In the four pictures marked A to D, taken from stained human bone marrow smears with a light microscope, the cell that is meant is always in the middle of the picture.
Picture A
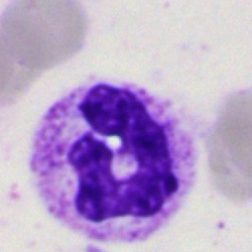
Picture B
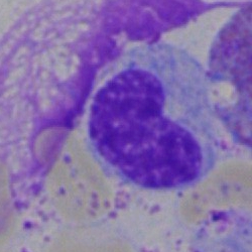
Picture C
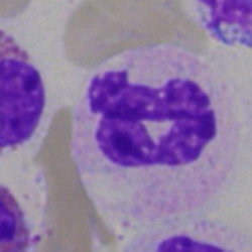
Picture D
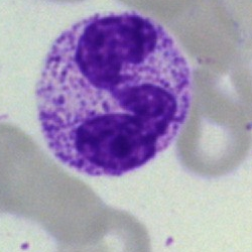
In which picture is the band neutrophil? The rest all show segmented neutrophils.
B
